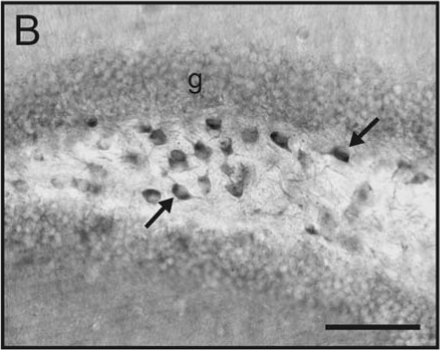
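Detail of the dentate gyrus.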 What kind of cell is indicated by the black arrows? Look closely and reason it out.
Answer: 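The arrows point to dark, rounded to triangular cell bodies. These cells lie scattered in a paler zone between two bands of small packed cells. They are larger and more darkly labeled than the cells of the bands. The answer: neurons of the polymorphic layer.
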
